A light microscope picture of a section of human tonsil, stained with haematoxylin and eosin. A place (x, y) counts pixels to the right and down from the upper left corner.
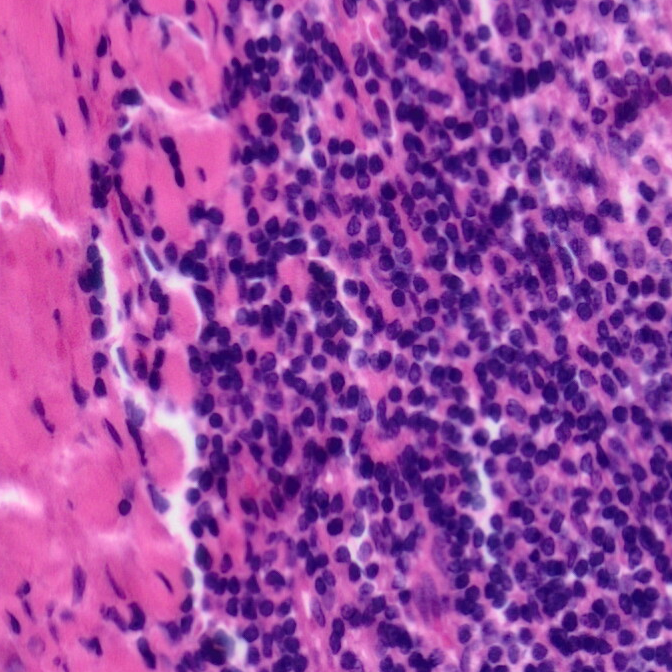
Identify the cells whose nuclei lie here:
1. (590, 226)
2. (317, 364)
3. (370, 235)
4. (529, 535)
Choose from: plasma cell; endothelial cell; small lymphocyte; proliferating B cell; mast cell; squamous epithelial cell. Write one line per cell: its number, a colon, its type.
1: proliferating B cell
2: small lymphocyte
3: small lymphocyte
4: small lymphocyte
